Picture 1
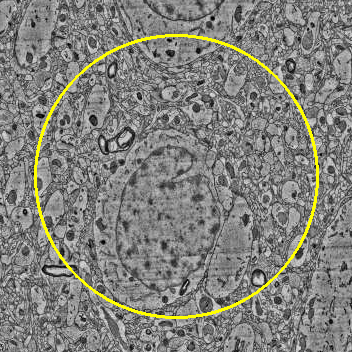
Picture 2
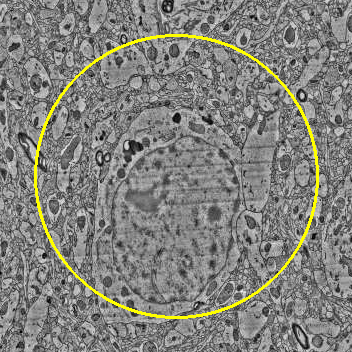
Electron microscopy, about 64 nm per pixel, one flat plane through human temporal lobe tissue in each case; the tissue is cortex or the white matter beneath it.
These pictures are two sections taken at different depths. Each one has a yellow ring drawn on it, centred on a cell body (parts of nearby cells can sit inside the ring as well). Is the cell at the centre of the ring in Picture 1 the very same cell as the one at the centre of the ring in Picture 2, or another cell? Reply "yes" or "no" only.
yes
